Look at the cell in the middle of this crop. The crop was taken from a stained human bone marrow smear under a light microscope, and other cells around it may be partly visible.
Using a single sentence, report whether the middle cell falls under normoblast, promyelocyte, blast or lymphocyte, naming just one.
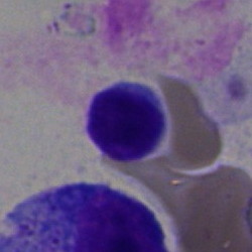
The centrally positioned cell in the crop represents a lymphocyte.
